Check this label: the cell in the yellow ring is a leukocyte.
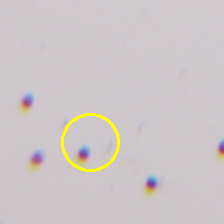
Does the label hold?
The label holds; the cell is a leukocyte.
